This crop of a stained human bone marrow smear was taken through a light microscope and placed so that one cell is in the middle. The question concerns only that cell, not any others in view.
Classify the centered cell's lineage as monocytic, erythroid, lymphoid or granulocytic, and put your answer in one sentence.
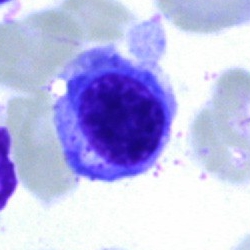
Regarding its lineage, the centered cell is erythroid.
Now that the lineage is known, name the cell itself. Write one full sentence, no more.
In the central position of this crop, the cell is an erythroblast.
